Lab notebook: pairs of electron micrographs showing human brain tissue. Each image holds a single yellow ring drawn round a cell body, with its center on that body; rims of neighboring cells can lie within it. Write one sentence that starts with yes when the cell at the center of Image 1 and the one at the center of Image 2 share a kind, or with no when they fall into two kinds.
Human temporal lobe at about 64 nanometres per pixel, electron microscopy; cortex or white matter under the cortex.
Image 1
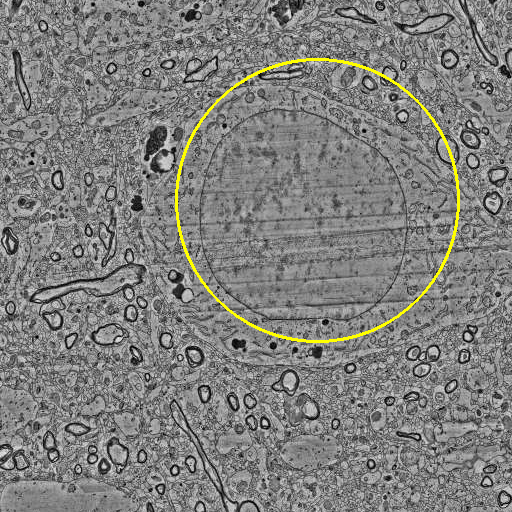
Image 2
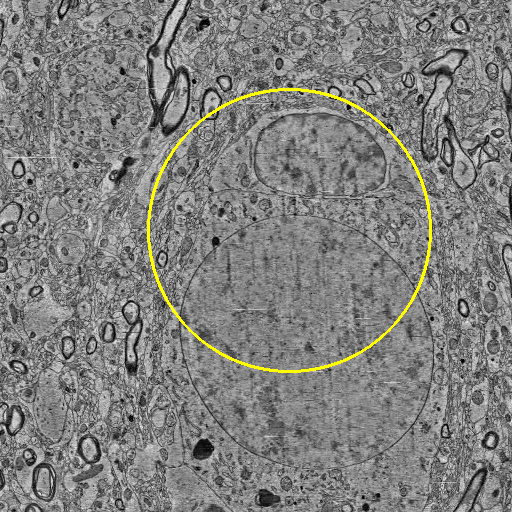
Yes, the centered cell in Image 1 and the centered cell in Image 2 are of one kind.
